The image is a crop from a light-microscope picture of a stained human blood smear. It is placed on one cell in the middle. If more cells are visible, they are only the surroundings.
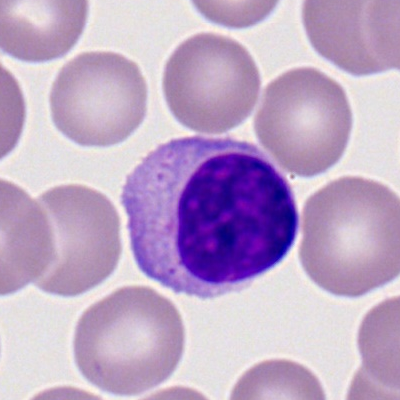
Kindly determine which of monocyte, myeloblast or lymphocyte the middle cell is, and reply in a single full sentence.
For this crop, the cell in the middle is a lymphocyte.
